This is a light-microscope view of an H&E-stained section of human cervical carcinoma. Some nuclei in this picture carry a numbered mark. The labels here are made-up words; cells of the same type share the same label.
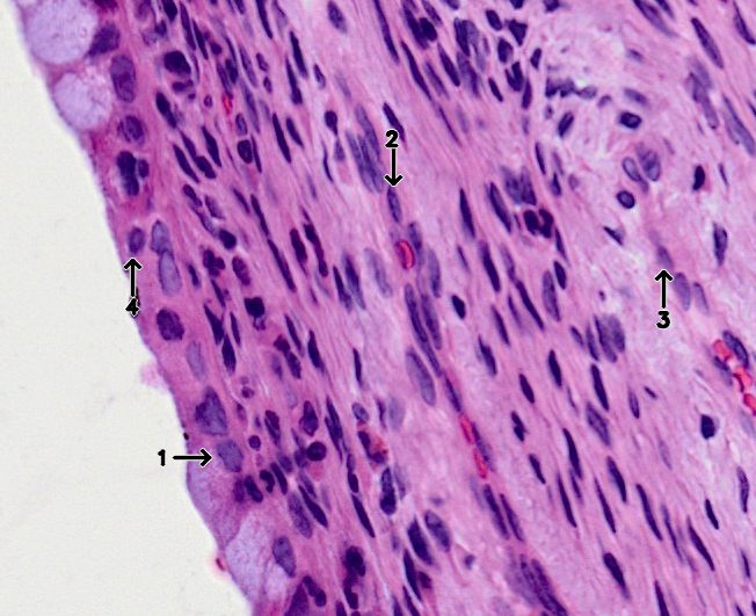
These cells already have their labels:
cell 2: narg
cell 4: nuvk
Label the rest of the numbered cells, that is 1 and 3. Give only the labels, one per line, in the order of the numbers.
nuvk
narg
